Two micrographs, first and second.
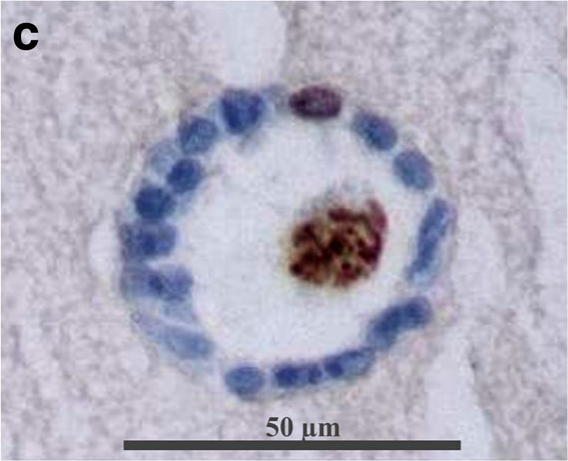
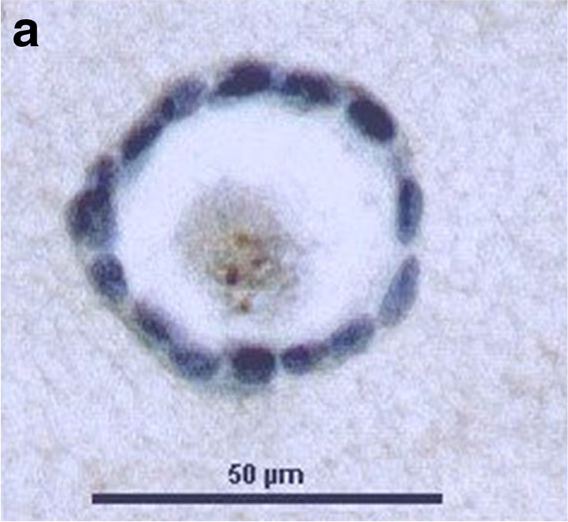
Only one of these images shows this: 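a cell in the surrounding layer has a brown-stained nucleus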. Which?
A: The first image.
